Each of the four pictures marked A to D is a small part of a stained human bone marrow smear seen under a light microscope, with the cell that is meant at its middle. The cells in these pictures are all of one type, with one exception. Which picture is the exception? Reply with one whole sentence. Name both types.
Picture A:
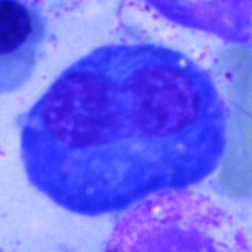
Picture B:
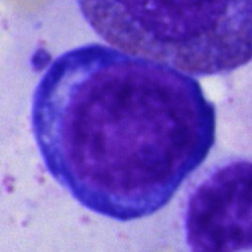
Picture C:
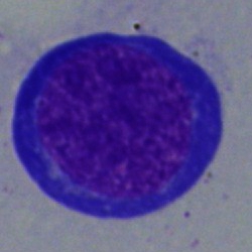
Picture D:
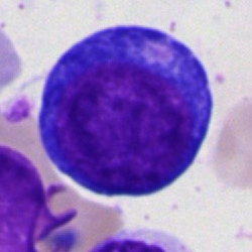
Unlike the rest, which show proerythroblasts, picture A shows a plasma cell.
